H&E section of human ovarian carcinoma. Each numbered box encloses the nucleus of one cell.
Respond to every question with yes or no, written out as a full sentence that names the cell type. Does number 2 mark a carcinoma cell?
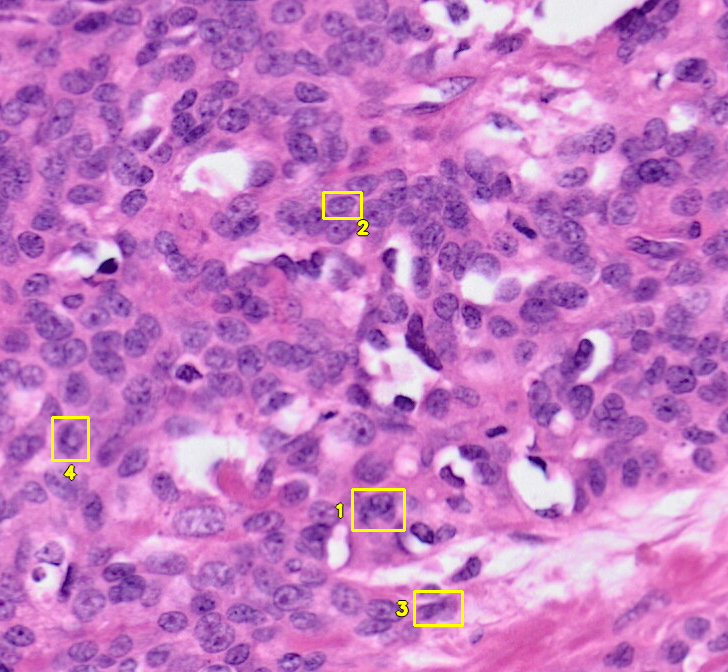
Yes, the cell corresponding to number 2 is a carcinoma cell.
